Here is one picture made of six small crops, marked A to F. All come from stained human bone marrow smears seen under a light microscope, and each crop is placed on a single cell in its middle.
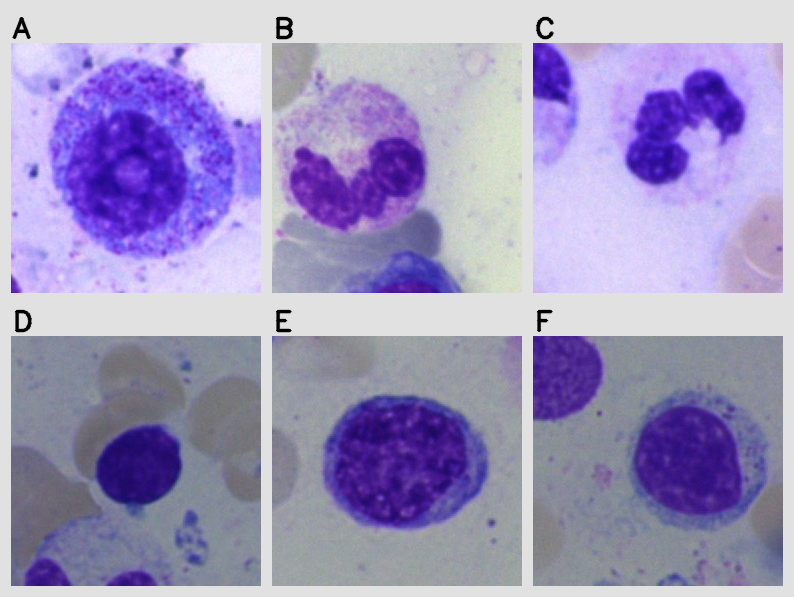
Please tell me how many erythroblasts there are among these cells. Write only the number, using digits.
0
